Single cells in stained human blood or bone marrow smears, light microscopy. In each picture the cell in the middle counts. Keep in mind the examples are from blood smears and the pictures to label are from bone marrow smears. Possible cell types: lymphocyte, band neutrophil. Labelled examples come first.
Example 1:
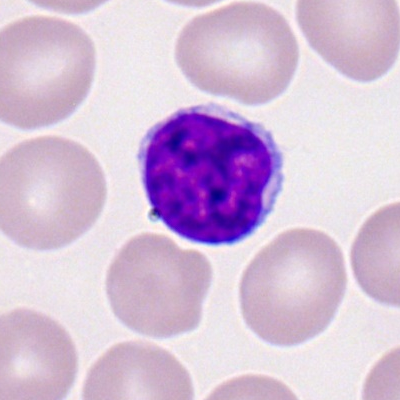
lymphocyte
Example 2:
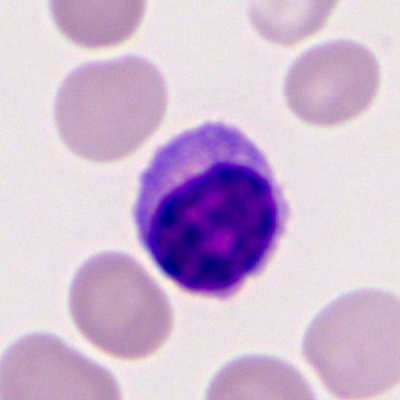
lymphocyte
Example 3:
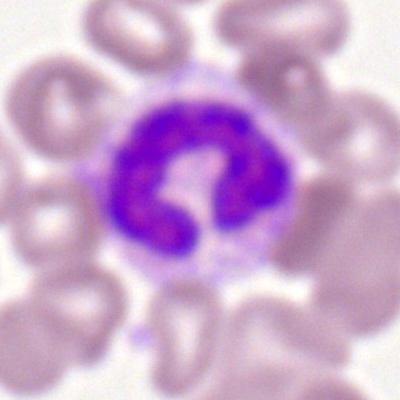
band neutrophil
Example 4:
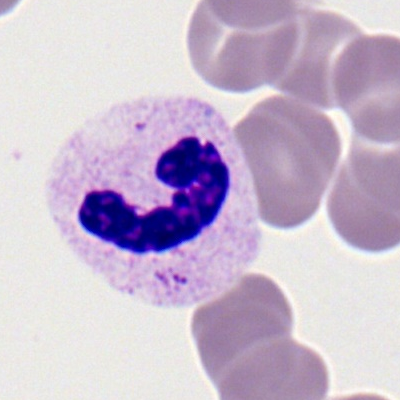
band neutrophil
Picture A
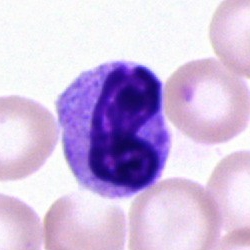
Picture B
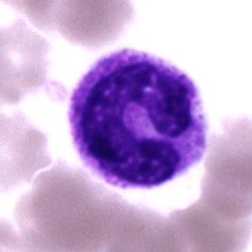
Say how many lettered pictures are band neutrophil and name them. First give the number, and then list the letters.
Count: 2 (A, B)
